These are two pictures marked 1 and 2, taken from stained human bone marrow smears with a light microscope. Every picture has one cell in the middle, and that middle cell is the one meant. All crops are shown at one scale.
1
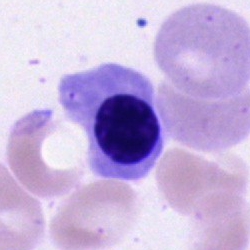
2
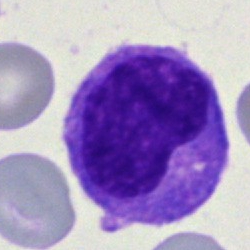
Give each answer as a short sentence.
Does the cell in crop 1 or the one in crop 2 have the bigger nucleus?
Larger is the nucleus in crop 2, at roughly 4 times the area of the other.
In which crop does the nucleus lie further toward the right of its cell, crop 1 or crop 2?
Seen within its cell, the nucleus in crop 1 lies further toward the right.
